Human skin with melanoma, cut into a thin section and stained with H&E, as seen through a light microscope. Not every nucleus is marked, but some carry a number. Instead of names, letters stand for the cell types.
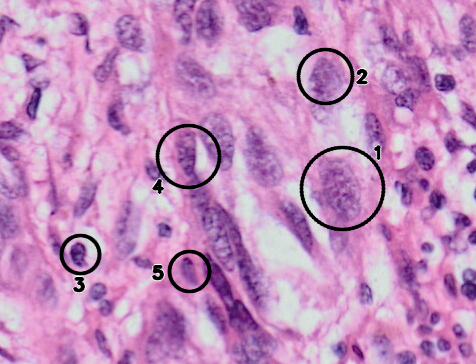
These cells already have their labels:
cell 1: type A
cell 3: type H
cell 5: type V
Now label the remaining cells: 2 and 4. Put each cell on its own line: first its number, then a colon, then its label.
2: type A
4: type A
